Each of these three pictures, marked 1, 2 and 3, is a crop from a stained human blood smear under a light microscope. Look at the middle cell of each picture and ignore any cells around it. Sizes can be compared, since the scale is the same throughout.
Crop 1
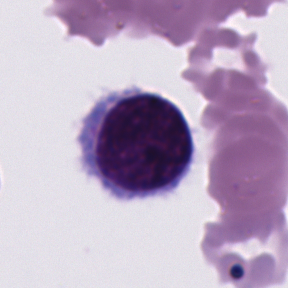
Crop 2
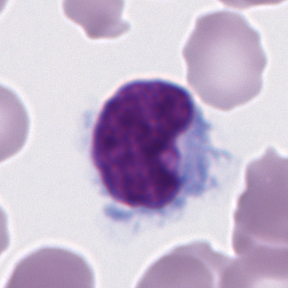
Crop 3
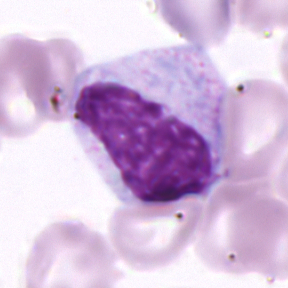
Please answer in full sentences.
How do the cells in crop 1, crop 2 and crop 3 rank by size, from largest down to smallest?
From the largest down, the order is 3, 2, 1.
